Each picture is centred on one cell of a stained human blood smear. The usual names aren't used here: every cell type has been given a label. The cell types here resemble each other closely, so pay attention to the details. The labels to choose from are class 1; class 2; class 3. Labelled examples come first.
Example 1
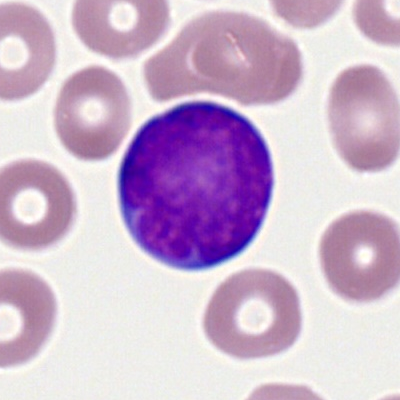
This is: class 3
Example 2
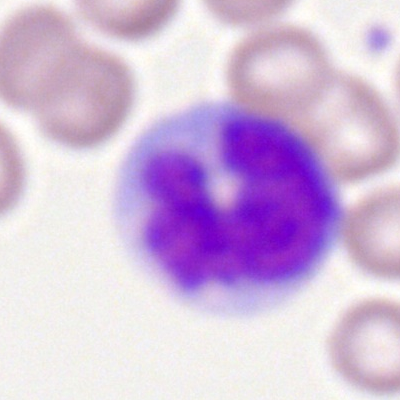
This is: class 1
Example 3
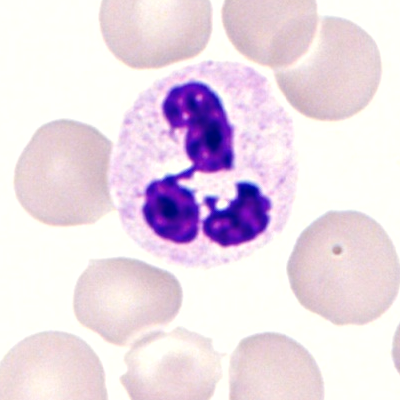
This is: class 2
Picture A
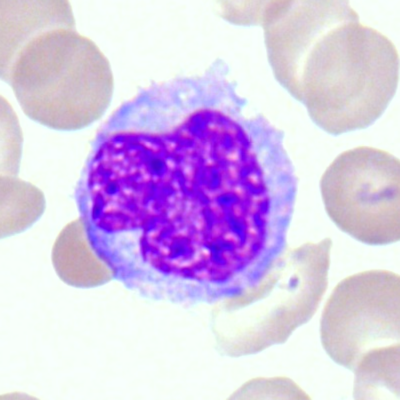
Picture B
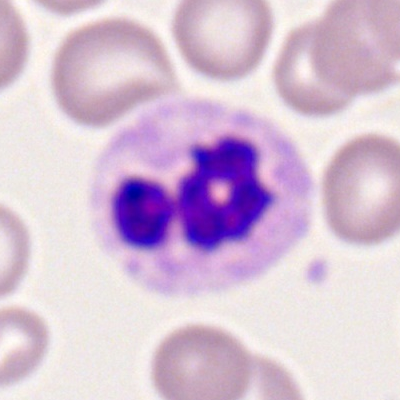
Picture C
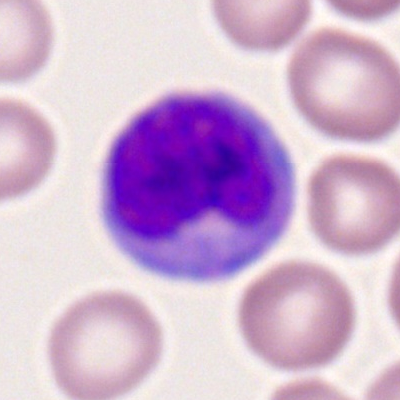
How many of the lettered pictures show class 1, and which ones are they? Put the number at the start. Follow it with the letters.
2: A, C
